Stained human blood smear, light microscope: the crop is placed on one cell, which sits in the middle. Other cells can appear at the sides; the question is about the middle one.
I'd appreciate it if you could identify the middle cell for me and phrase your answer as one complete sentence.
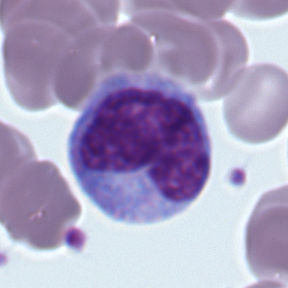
The cell sitting right in the middle is a monocyte.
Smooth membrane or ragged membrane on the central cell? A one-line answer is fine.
The membrane contour is even and smooth, with nothing projecting from it.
